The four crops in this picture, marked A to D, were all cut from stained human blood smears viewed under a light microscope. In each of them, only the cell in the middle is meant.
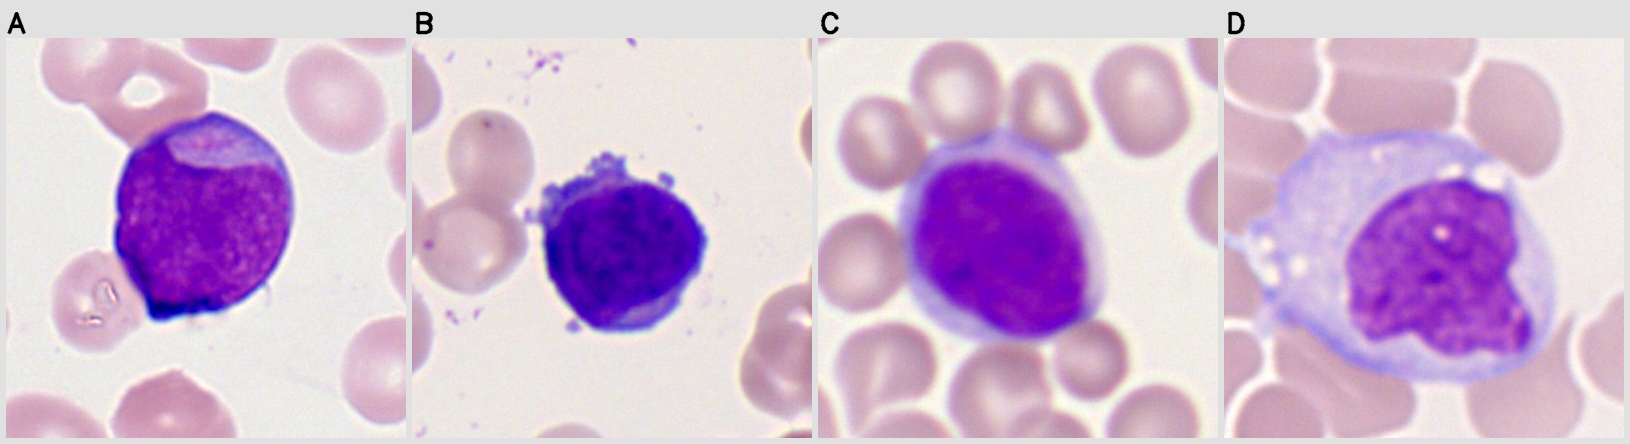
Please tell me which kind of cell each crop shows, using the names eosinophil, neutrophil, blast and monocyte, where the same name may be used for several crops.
A: blast
B: blast
C: blast
D: monocyte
